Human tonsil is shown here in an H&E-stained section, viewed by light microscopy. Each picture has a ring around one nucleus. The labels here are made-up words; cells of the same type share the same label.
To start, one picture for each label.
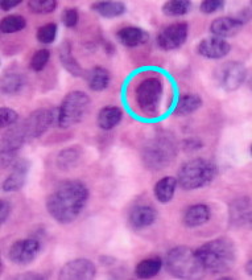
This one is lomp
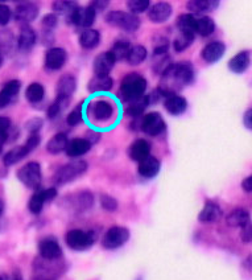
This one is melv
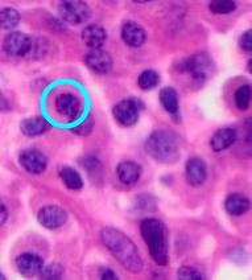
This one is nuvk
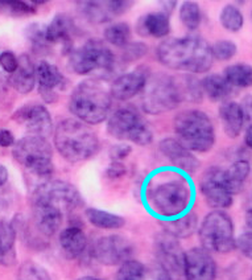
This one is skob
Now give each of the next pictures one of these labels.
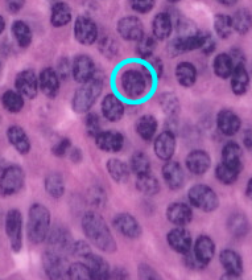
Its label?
nuvk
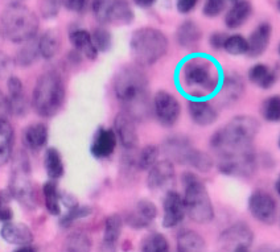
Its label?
skob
